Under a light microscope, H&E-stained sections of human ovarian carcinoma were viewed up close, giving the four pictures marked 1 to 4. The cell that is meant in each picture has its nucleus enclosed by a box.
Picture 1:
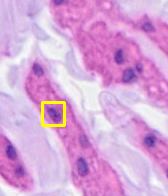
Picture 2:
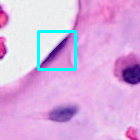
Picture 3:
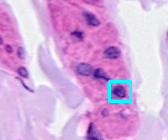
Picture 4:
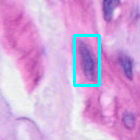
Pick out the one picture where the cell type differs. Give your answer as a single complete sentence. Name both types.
Picture 2 differs, because its cell is an endothelial cell and the rest are smooth muscle cells.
